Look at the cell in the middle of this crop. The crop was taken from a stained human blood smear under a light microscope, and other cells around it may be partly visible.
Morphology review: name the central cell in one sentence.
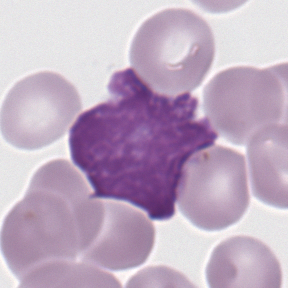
The cell of interest, located centrally, is a smudge cell.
